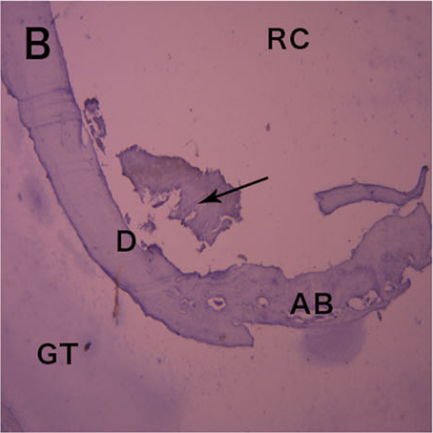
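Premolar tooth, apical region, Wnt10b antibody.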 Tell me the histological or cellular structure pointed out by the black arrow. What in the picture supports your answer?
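The arrow points to a separate fragment lying free within the canal space. The fragment has a texture and tint like the hard tissue of the root wall. The answer: mineralized tissue.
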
